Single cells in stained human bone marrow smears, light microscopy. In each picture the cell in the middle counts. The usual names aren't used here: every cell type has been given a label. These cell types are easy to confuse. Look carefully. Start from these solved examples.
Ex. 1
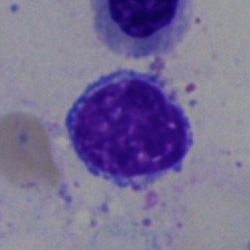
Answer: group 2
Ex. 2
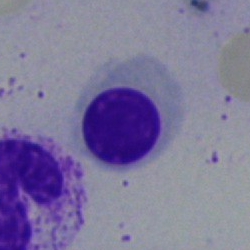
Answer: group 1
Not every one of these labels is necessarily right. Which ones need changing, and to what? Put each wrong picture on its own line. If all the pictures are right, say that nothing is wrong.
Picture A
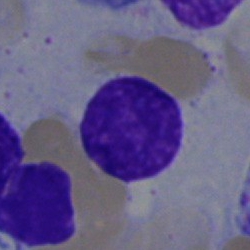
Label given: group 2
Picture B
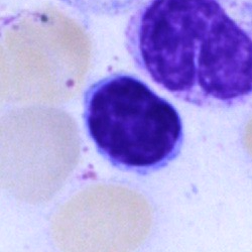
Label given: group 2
None of the labels needs changing.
